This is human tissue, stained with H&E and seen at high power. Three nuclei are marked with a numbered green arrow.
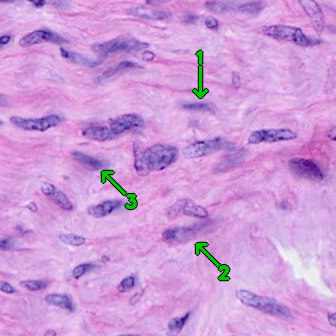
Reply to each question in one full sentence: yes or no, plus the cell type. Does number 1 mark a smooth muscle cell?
No, the correct answer for cell 1 is a fibroblast, not a smooth muscle cell.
